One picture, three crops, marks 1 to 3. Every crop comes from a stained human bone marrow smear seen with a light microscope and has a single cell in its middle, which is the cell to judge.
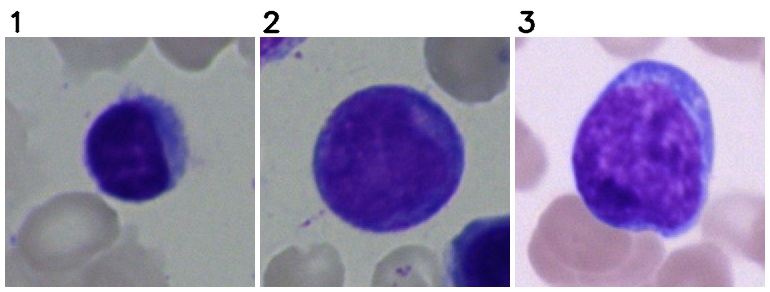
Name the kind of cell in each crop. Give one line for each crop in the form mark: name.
1: lymphocyte
2: blast
3: blast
